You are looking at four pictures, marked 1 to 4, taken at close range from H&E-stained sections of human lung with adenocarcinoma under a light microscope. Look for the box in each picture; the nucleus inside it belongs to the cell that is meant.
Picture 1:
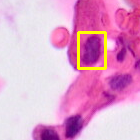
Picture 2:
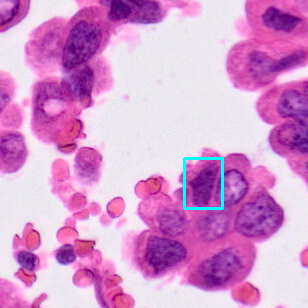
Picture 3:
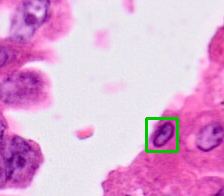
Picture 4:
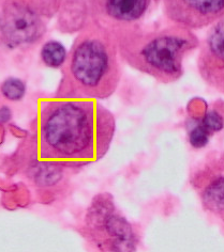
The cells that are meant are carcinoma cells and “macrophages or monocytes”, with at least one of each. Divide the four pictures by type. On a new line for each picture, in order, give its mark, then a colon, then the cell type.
1: macrophage or monocyte
2: carcinoma cell
3: macrophage or monocyte
4: carcinoma cell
